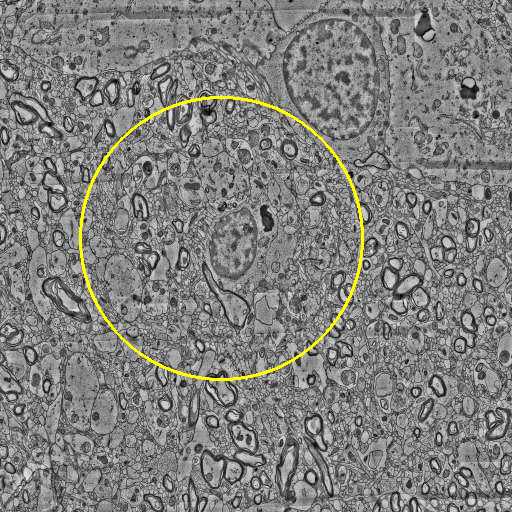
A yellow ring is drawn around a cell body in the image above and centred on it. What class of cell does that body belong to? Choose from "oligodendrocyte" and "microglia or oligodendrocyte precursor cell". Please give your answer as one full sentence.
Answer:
The yellow ring above is centred on the cell body of an oligodendrocyte.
